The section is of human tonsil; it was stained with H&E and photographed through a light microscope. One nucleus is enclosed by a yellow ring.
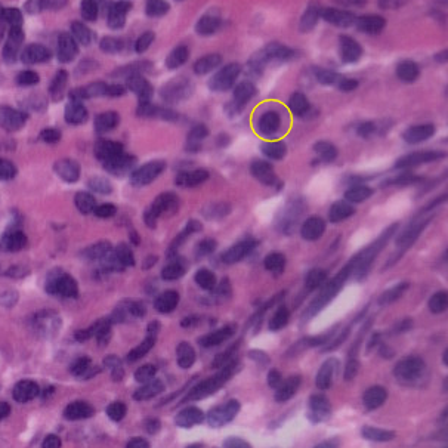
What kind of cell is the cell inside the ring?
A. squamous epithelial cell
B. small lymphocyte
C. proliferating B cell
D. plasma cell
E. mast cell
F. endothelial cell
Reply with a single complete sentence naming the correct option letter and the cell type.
Settle on option D; the cell inside the ring is a plasma cell.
